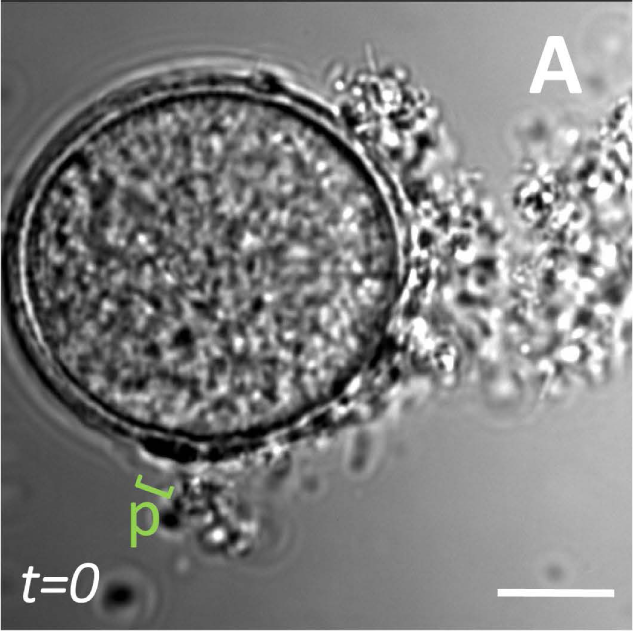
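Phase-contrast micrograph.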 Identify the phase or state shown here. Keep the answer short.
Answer: cysts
